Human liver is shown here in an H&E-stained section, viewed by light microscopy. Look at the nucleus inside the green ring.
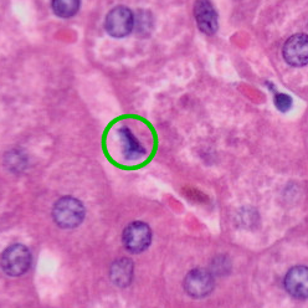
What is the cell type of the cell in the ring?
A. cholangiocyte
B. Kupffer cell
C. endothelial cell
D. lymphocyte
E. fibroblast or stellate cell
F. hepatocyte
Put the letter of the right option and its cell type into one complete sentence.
It is option C that correctly calls the cell in the ring an endothelial cell.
